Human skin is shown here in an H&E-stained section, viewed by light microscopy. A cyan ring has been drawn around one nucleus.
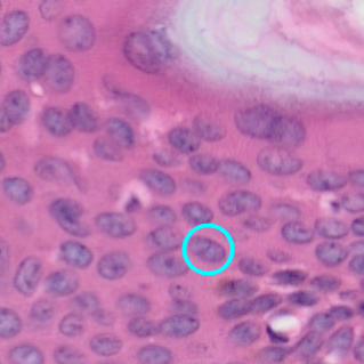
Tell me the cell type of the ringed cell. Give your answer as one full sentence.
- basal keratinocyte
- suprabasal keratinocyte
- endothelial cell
Considered by cell type, the ringed cell is a suprabasal keratinocyte.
